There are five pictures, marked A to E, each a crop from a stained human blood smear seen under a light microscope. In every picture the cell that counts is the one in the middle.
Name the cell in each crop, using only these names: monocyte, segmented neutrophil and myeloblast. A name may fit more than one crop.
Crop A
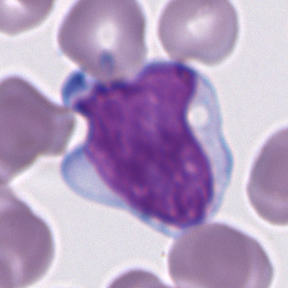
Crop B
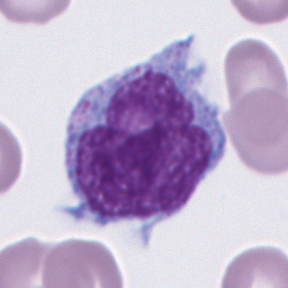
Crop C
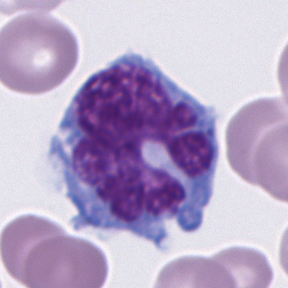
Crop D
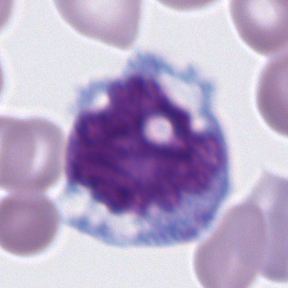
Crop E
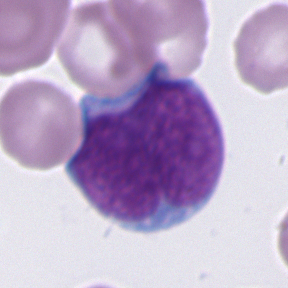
A: myeloblast
B: monocyte
C: monocyte
D: monocyte
E: myeloblast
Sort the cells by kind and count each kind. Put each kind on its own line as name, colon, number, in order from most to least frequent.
monocyte: 3
myeloblast: 2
